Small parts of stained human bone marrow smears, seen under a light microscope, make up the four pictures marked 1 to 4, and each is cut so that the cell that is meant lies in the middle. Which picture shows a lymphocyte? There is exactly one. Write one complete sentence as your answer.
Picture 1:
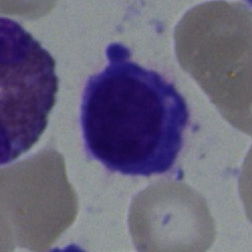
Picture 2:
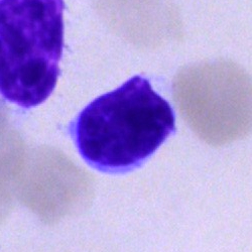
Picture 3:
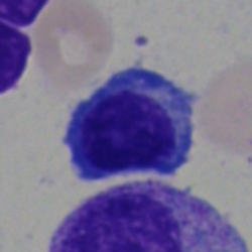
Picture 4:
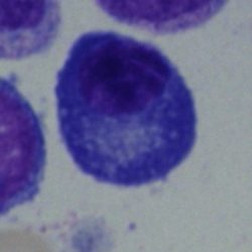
The cell in picture 2 is the lymphocyte.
